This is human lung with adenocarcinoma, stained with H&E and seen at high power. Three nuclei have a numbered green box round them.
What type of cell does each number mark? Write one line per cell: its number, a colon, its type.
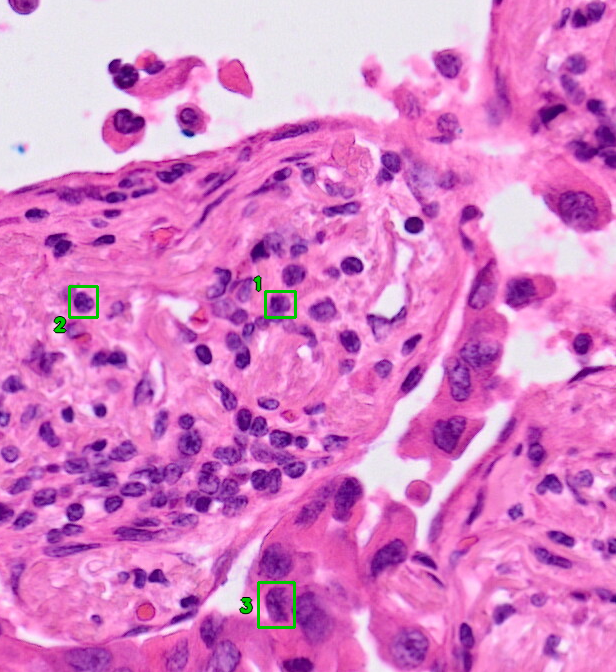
1: lymphocyte
2: lymphocyte
3: carcinoma cell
